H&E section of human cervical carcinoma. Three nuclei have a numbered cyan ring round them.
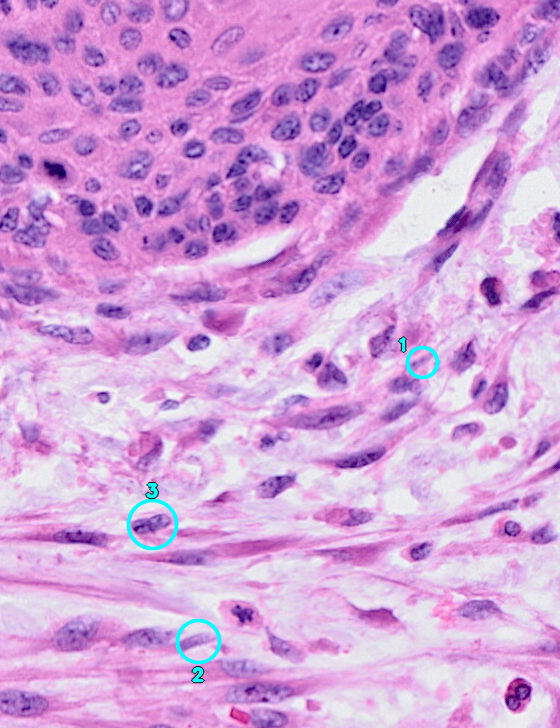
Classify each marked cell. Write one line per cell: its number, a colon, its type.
1: fibroblast
2: fibroblast
3: macrophage or monocyte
